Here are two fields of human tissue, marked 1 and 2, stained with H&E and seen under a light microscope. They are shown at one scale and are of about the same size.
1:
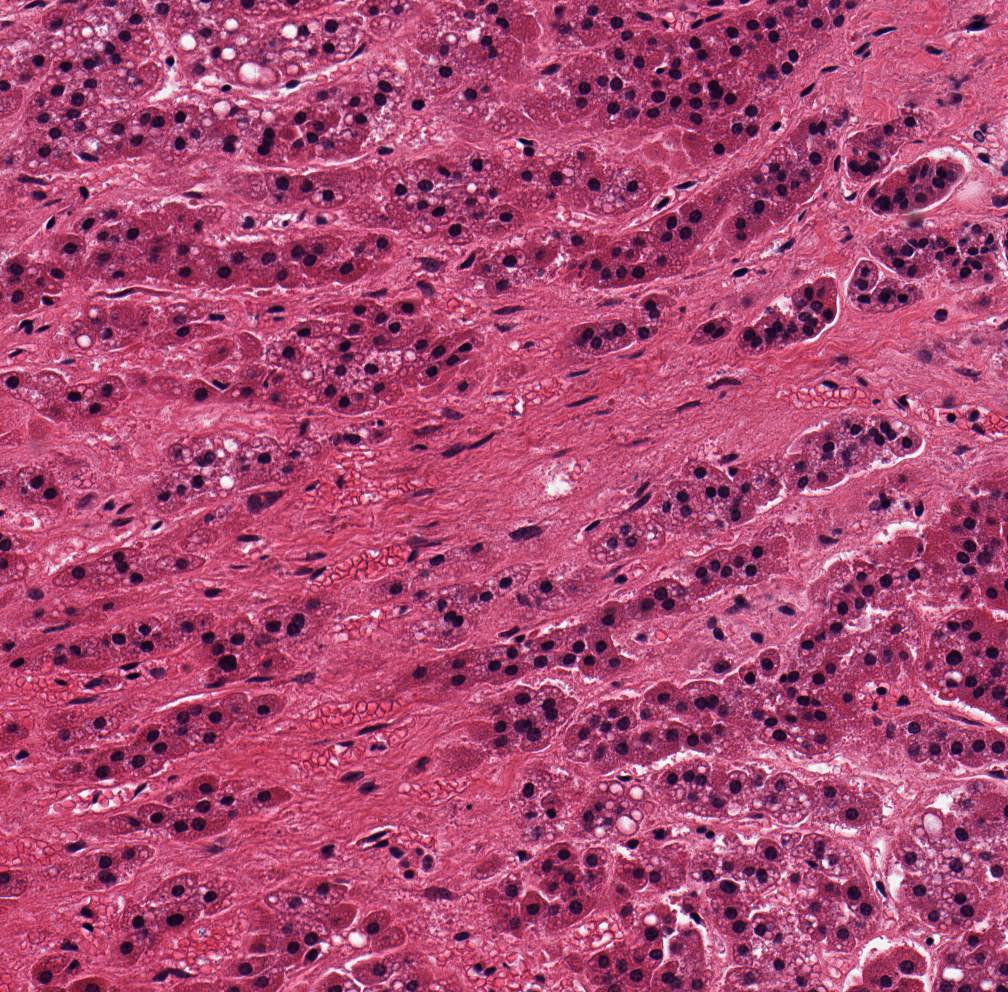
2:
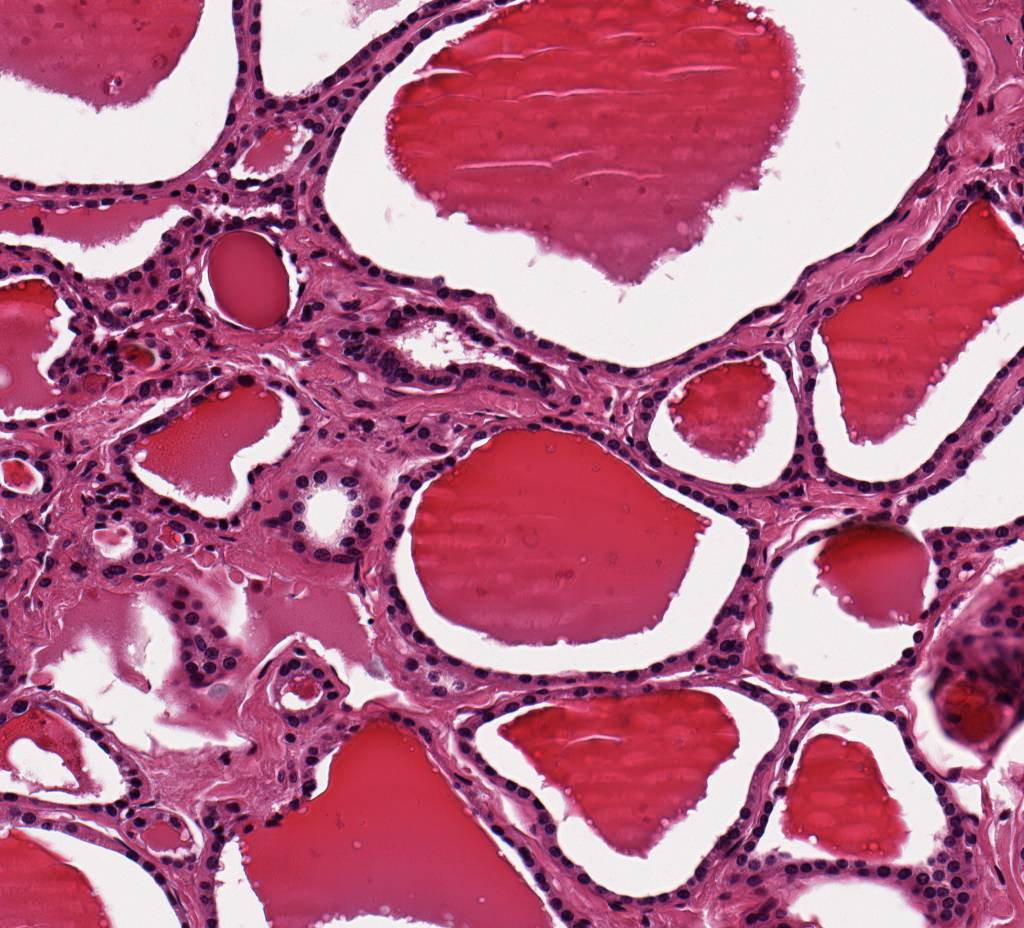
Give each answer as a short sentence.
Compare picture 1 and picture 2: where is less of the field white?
Unstained space takes up less of picture 1 than of picture 2.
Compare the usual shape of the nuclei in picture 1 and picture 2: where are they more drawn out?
The nuclei are more elongated in picture 2.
